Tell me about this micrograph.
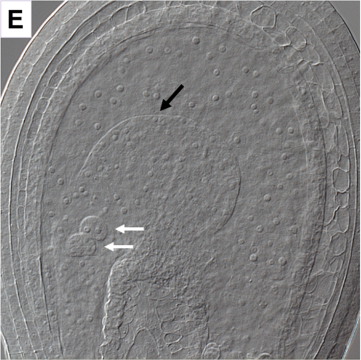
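This is a developing seed whose embryo sac contains two small embryos side by side near the micropylar end. Each embryo is a little rounded cluster of a few cells, clearly different from the single free nuclei scattered in the cytoplasm around them. A thin curved line crosses the central cytoplasm, setting off a separate compartment of endosperm from the rest. Round endosperm nuclei with nucleoli lie on both sides of this boundary. The embryo sac is enclosed by several layers of elongated seed coat cells.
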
